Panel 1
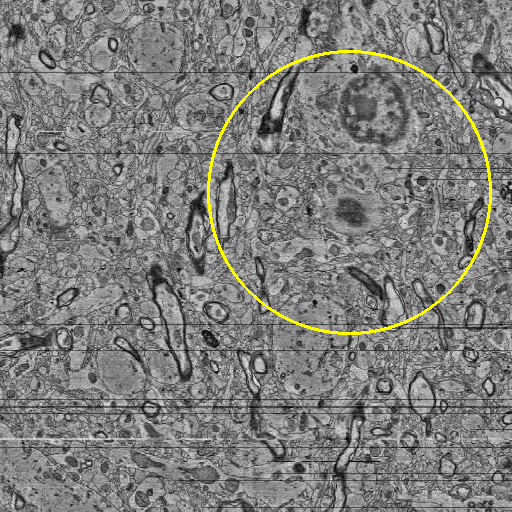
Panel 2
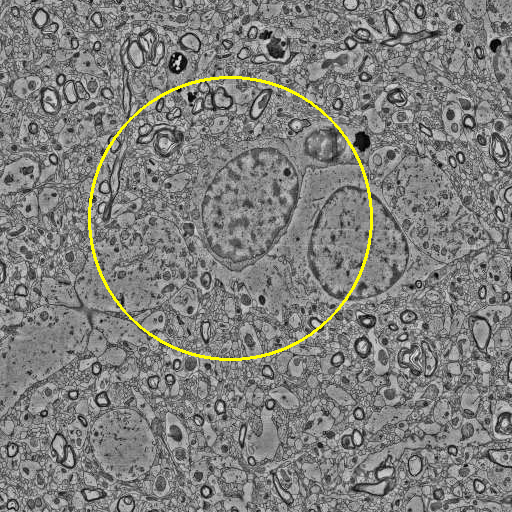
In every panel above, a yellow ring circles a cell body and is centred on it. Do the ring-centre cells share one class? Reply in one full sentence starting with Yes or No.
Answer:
Yes, the two cells at the ring centres in the panels belong to one class.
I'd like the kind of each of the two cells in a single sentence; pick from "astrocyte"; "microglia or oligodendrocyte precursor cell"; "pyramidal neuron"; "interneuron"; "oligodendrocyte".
Each of the two rings surrounds an oligodendrocyte.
